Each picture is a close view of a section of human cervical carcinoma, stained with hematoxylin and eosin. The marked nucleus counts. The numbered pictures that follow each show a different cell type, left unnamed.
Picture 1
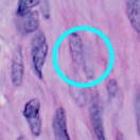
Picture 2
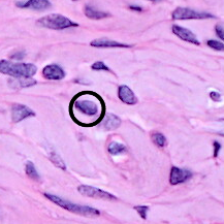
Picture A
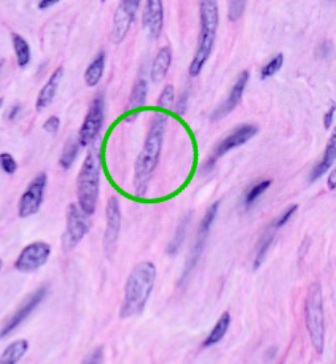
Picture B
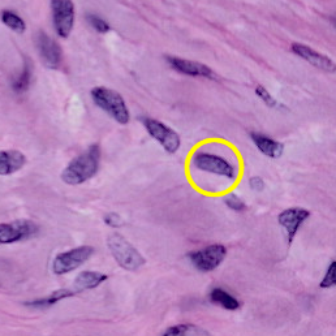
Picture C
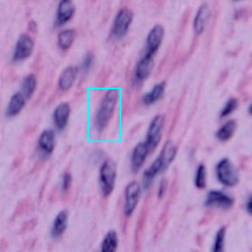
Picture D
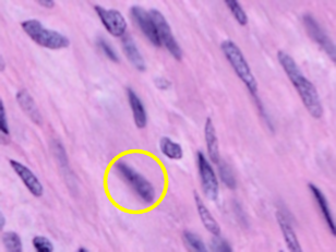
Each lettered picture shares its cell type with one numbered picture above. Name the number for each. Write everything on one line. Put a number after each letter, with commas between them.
A 1, B 2, C 1, D 2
